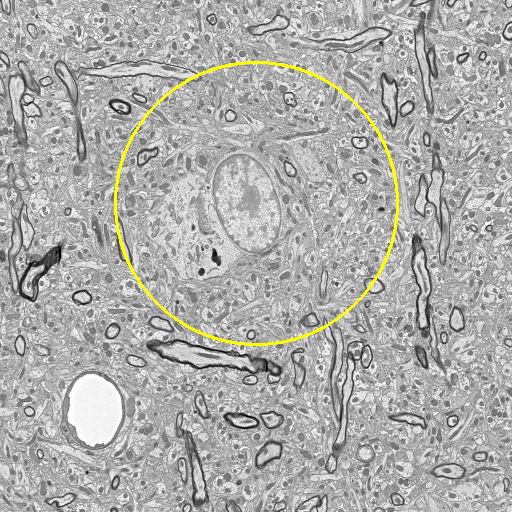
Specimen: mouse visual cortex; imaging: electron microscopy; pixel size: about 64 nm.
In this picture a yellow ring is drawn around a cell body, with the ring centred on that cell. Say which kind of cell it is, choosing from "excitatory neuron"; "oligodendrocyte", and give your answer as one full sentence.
Here it is an oligodendrocyte that sits at the centre of the drawn yellow ring.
